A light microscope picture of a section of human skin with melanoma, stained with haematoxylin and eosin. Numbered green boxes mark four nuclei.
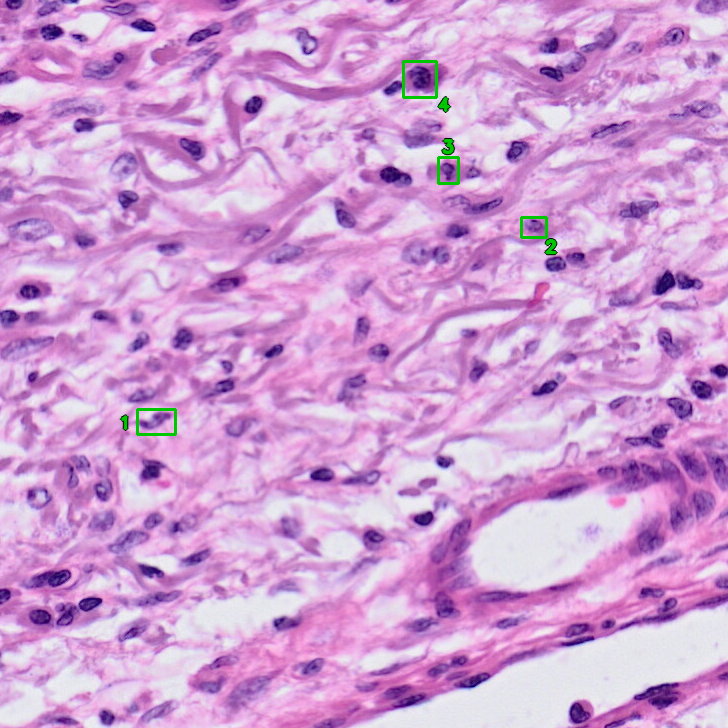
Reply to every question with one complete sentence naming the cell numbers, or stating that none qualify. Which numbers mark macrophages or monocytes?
The identity of cells 2 and 3: they are macrophages or monocytes.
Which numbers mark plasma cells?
Only the cell with number 4 is a plasma cell.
